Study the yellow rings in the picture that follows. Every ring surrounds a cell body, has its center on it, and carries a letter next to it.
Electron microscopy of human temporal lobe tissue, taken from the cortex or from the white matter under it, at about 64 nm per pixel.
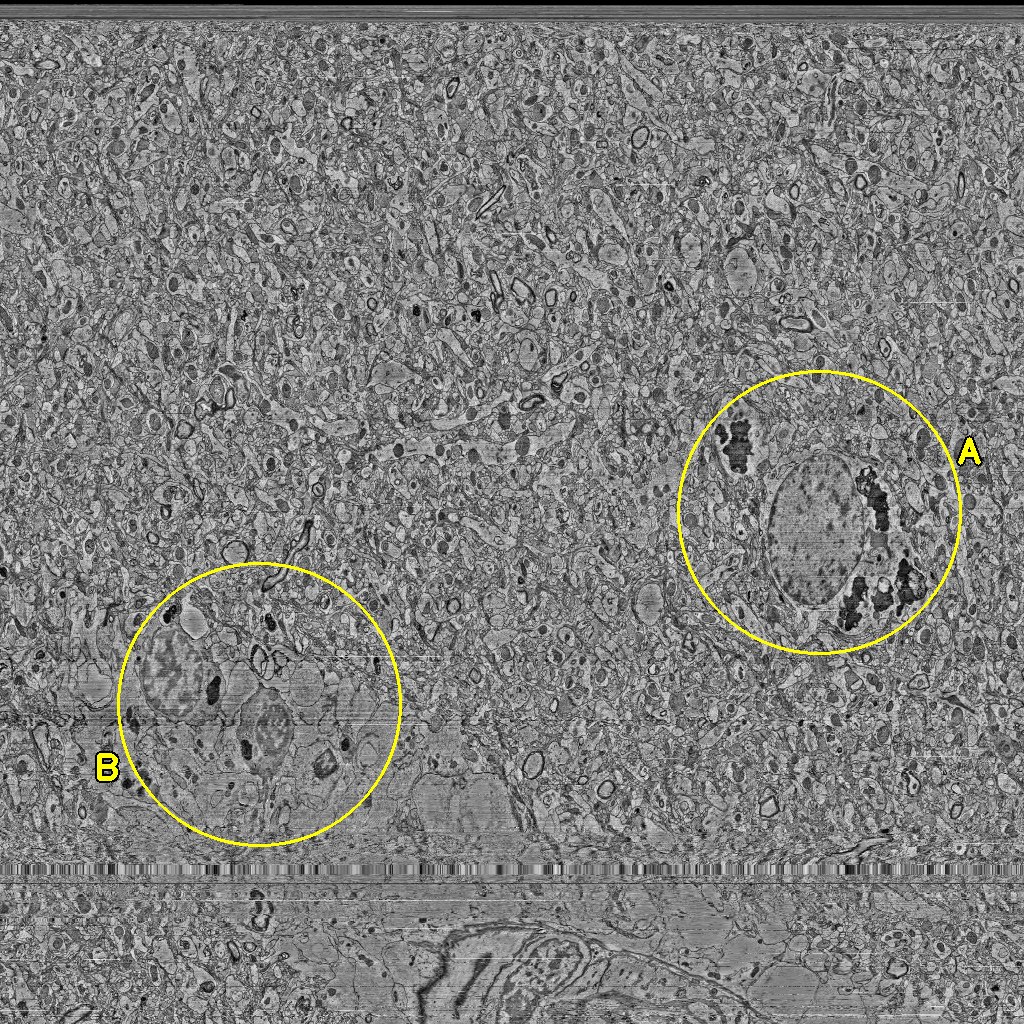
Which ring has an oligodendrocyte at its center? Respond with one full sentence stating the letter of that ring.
The ring centered on the cell asked for carries the letter B.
